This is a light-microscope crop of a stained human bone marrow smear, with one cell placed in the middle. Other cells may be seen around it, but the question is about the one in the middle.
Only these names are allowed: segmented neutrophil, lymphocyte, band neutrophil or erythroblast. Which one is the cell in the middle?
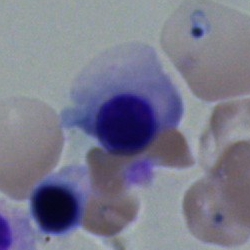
erythroblast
